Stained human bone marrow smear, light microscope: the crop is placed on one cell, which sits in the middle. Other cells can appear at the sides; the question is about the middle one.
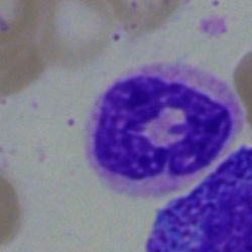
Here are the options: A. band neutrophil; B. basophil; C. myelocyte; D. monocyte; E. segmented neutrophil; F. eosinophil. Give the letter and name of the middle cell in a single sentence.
The centrally positioned cell is a band neutrophil, consistent with option A, which is correct.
